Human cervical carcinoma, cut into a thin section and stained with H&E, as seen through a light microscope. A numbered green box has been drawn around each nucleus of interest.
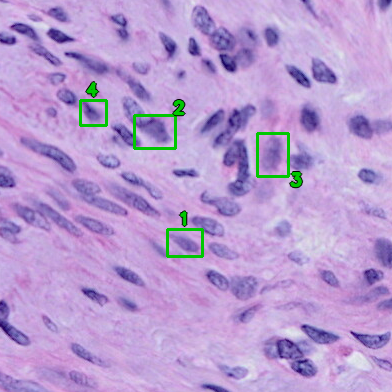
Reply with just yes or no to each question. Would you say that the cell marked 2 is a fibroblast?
yes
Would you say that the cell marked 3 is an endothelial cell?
yes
